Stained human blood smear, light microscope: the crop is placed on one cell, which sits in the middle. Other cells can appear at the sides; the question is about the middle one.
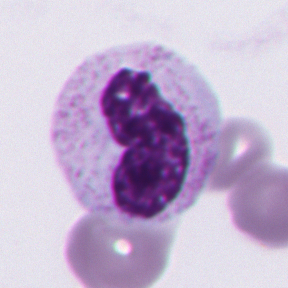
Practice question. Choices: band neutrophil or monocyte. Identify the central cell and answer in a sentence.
What sits at the centre of this crop is a band neutrophil.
